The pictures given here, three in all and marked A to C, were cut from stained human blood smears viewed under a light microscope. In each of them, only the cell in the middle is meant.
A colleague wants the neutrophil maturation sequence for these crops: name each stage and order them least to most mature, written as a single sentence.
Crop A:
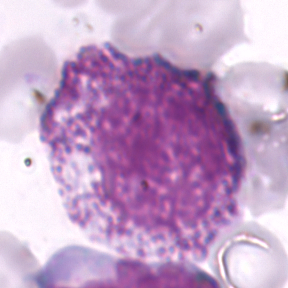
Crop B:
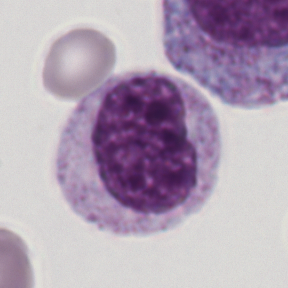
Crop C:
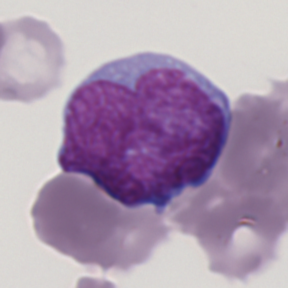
Moving up in maturity, the order goes crop C (a myeloblast), crop A (a promyelocyte) and crop B (a metamyelocyte).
